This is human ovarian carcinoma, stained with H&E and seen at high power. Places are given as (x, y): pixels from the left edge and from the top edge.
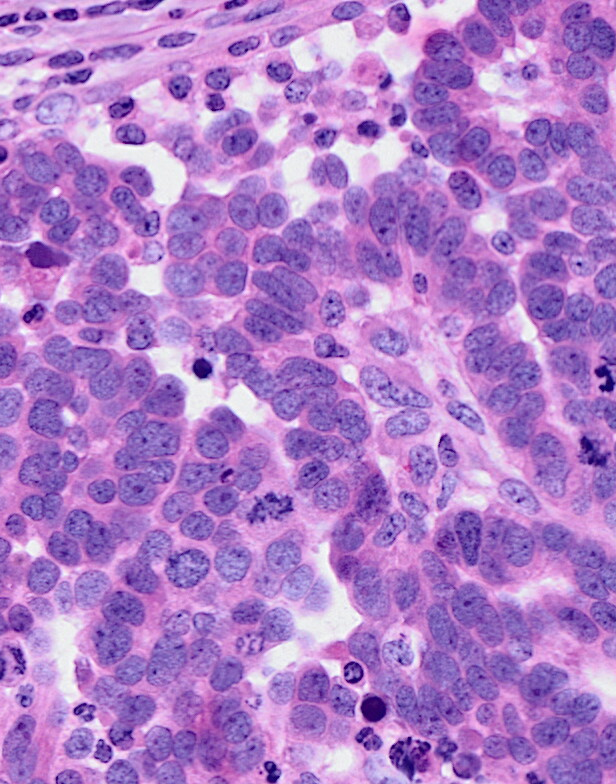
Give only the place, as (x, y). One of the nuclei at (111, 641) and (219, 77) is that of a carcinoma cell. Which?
(111, 641)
